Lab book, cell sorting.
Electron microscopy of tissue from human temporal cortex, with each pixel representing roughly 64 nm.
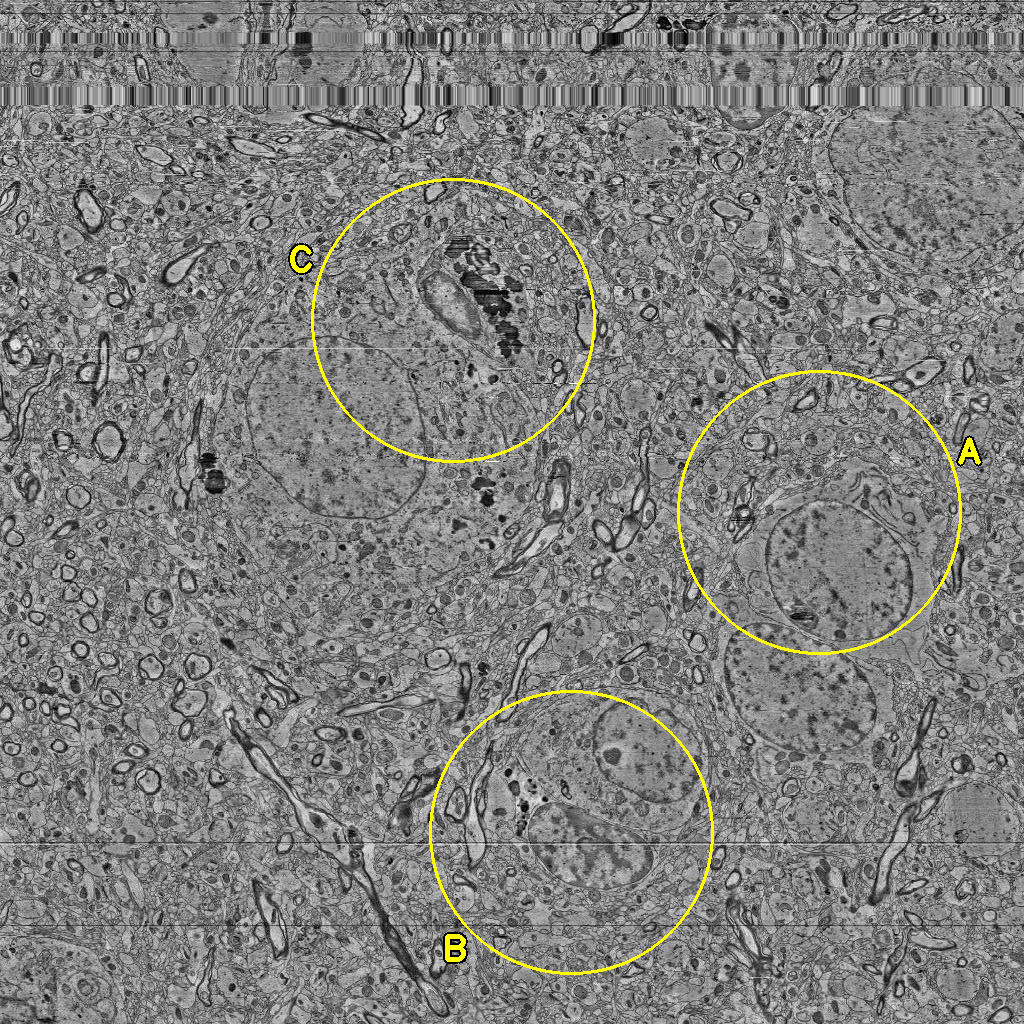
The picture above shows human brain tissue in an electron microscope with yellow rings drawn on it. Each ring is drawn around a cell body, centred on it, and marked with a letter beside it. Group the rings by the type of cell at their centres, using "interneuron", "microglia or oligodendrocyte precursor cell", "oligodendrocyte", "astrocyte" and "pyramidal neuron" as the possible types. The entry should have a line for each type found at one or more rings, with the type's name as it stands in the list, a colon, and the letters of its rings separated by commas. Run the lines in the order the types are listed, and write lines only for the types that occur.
microglia or oligodendrocyte precursor cell: B
oligodendrocyte: C
astrocyte: A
